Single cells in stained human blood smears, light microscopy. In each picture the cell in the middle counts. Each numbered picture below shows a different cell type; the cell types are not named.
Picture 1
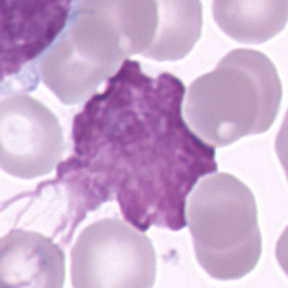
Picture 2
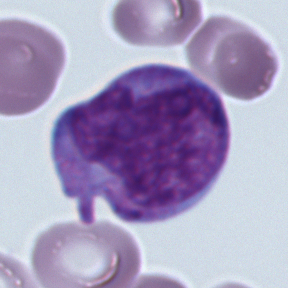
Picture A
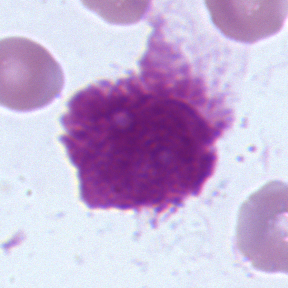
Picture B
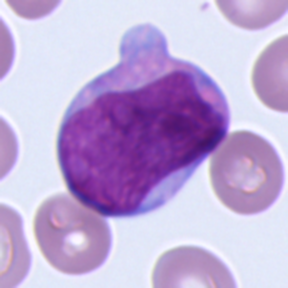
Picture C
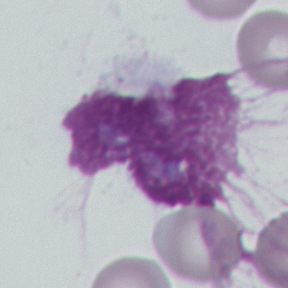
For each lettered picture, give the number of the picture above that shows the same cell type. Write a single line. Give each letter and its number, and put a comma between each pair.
A 1, B 2, C 1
